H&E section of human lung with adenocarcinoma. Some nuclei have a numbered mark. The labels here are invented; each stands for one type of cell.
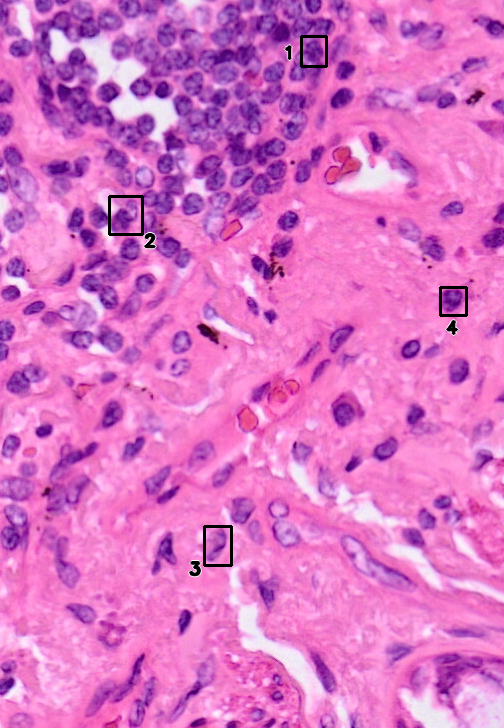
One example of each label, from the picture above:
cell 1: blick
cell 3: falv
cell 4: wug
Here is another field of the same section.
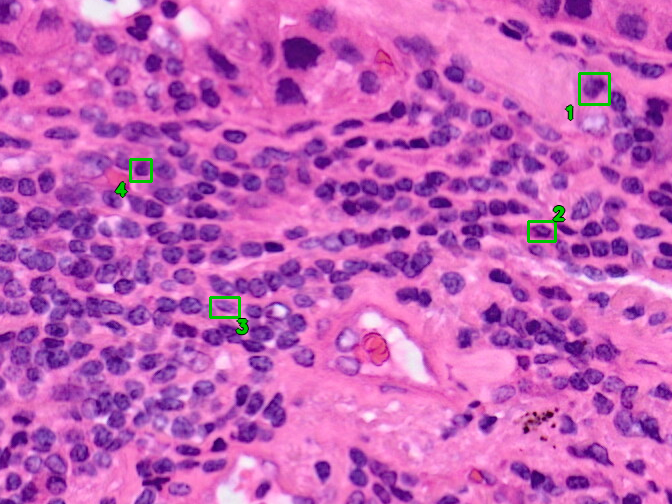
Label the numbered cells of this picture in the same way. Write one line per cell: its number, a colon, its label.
1: wug
2: wug
3: blick
4: blick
